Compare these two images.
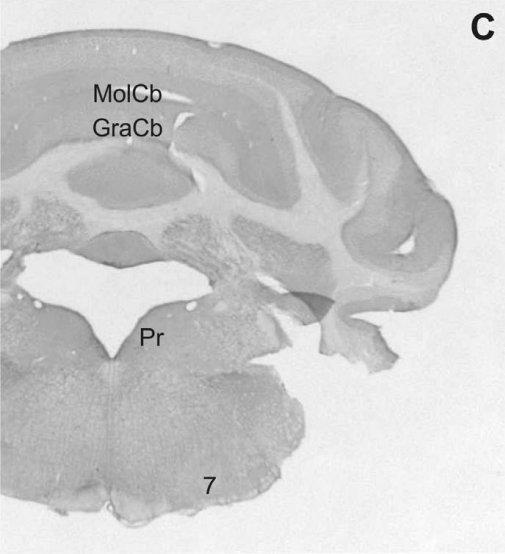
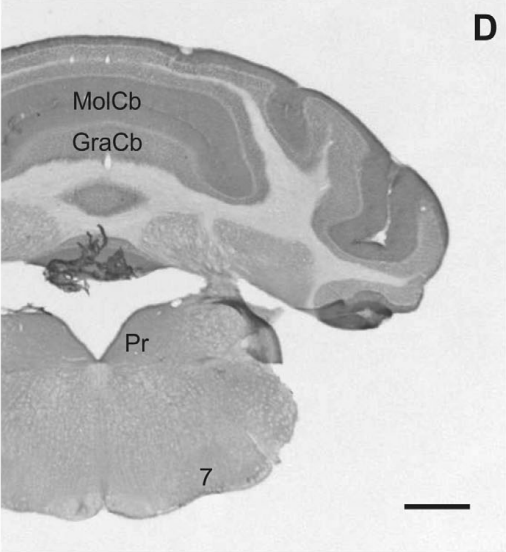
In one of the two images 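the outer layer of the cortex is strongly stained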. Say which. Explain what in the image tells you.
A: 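First image: the outer band of the folds is pale, barely darker than the inner band. Second image: the outer band of the folds is clearly darker than the rest of the section. That points to this answer: the second image.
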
